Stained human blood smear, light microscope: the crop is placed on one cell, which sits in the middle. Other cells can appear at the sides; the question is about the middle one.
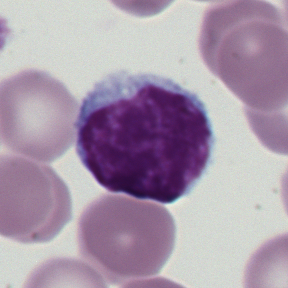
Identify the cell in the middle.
lymphocyte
